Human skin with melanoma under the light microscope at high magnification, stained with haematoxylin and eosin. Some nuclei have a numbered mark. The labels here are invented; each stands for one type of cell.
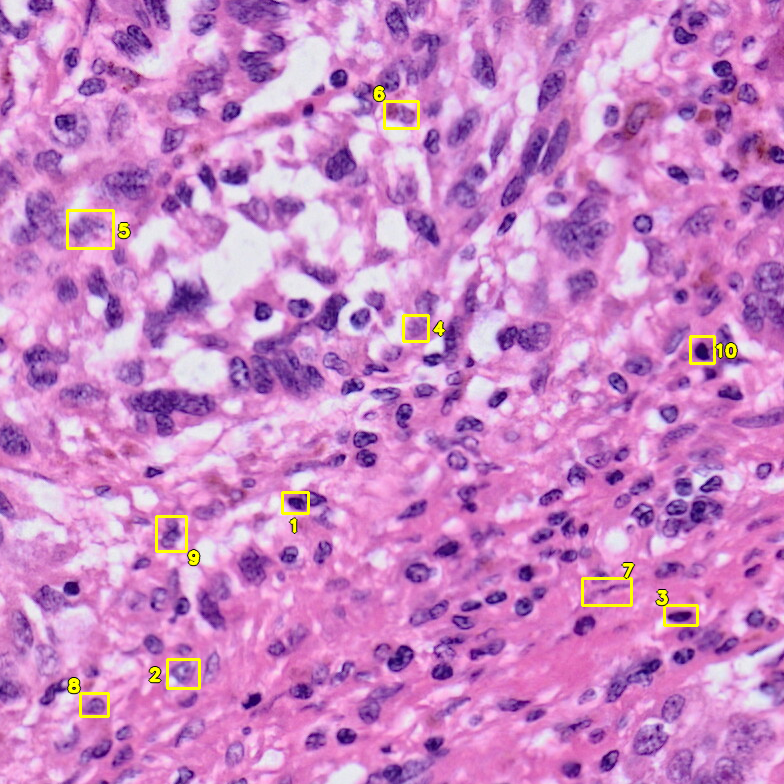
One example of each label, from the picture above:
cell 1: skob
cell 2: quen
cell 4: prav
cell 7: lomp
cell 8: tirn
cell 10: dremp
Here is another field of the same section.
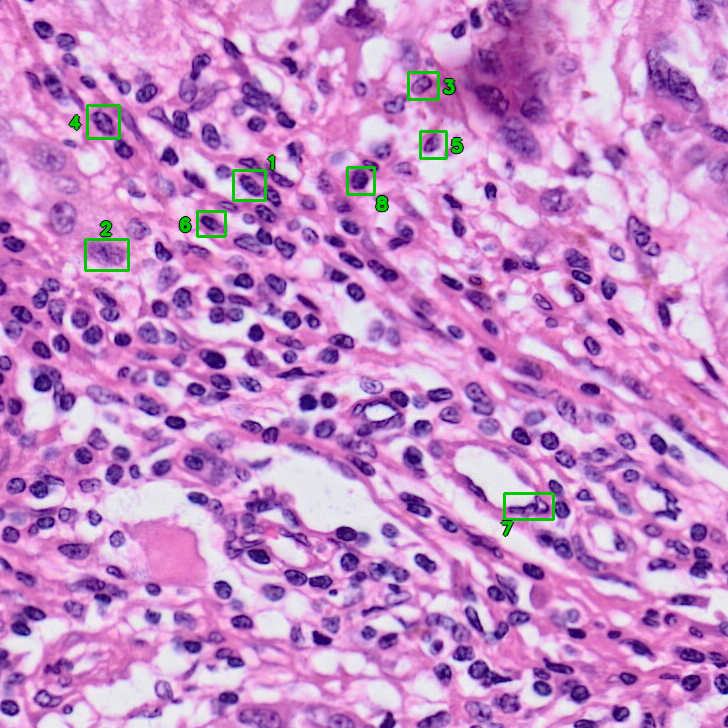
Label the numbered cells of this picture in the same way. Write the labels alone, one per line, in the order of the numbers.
skob
prav
tirn
dremp
tirn
dremp
quen
dremp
